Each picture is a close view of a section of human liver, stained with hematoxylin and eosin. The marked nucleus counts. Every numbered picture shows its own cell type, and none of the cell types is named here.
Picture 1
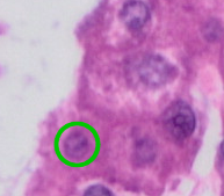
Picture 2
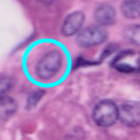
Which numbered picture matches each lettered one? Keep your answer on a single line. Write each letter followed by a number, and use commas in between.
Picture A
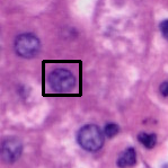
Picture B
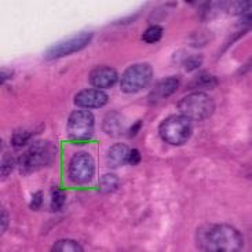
A 1, B 2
